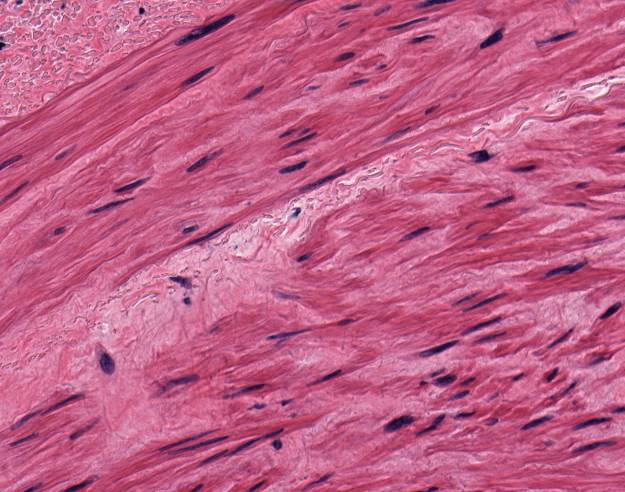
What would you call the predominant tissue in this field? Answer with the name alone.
tunica media of an artery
